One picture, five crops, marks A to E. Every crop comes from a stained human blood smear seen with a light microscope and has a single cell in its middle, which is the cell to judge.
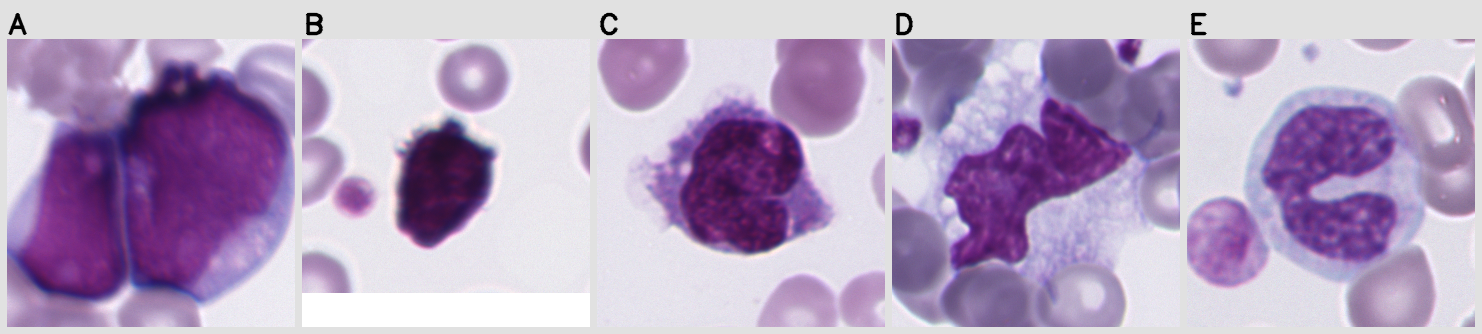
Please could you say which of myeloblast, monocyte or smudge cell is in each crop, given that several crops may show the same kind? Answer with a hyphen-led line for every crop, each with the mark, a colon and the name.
- A: myeloblast
- B: myeloblast
- C: monocyte
- D: monocyte
- E: monocyte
